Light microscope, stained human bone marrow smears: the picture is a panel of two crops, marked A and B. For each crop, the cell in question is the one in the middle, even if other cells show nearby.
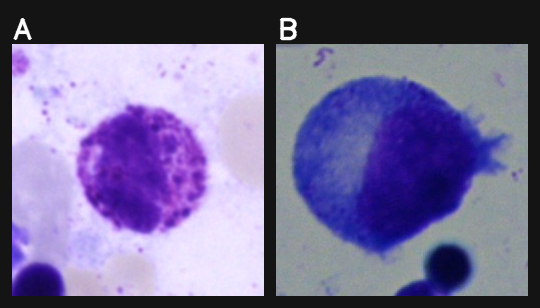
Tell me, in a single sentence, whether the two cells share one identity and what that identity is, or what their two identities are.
No, crop A features a basophil, and crop B features a promyelocyte.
